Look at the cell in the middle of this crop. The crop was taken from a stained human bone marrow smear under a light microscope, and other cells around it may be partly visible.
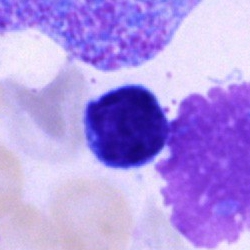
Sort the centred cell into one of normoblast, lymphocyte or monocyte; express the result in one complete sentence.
In this crop, the cell at the very middle is a lymphocyte.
